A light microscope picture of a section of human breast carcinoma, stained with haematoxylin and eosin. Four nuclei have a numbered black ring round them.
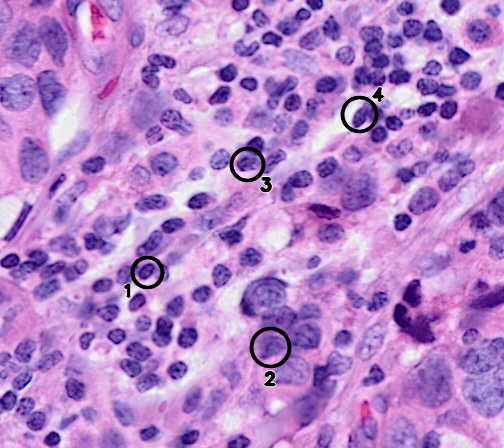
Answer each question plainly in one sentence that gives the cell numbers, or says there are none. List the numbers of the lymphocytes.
Each of the cells numbered 1, 3 and 4 is among the lymphocytes.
